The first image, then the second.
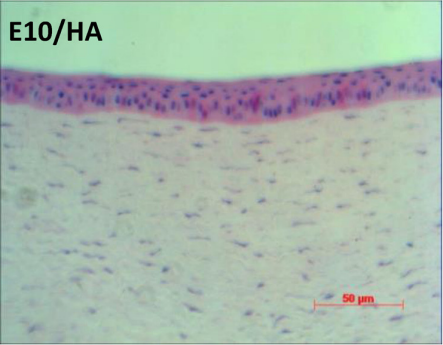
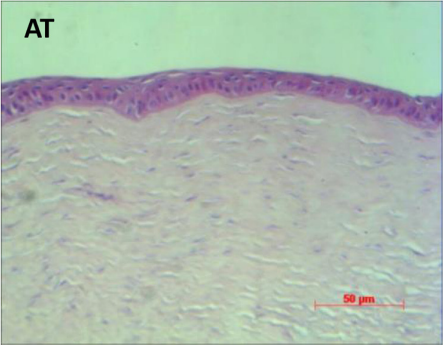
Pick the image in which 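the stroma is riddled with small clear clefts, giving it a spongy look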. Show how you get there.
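First image: the pale layer beneath the epithelium is evenly textured with scattered nuclei and few gaps. Second image: the pale layer beneath the epithelium is filled with many wavy clear clefts. The answer: the second image.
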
